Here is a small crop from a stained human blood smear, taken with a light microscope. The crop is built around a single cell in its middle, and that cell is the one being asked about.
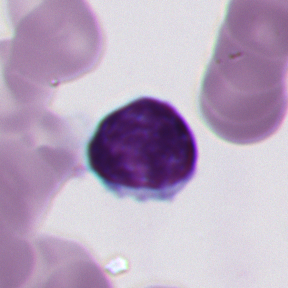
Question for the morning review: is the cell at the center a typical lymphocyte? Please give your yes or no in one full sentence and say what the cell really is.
Yes, in the middle of the crop is a typical lymphocyte.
